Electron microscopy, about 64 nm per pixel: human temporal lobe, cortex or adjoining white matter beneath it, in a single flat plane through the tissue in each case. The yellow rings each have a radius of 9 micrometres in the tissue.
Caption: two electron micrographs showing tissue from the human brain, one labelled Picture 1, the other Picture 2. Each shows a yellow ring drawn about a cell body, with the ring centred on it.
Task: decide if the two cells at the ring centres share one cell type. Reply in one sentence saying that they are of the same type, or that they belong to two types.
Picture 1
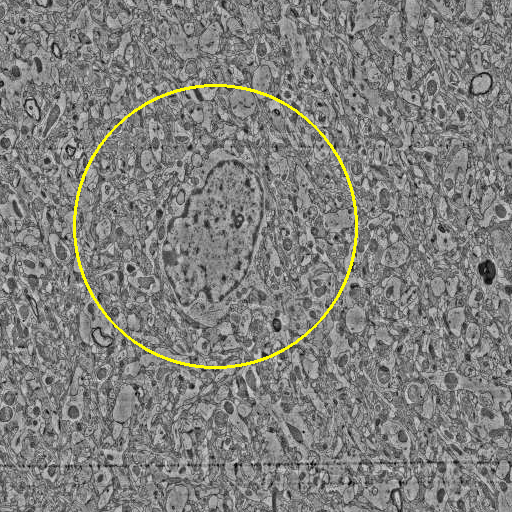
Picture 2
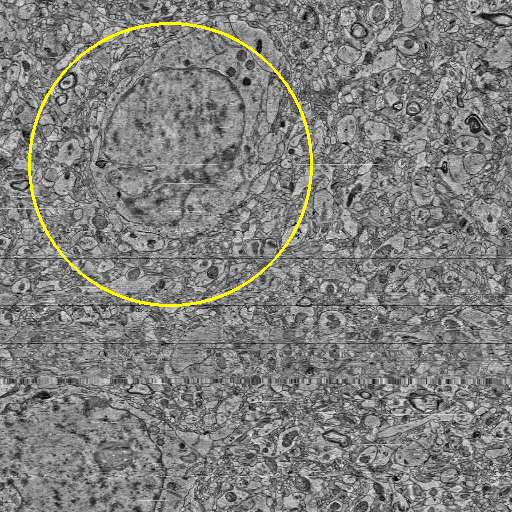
The cells at the ring centres in Picture 1 and Picture 2 belong to two types.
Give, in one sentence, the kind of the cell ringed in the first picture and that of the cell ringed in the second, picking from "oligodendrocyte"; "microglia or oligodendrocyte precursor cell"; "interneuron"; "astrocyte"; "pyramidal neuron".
For the first picture it is a microglial cell or oligodendrocyte precursor cell; for the second, an interneuron.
